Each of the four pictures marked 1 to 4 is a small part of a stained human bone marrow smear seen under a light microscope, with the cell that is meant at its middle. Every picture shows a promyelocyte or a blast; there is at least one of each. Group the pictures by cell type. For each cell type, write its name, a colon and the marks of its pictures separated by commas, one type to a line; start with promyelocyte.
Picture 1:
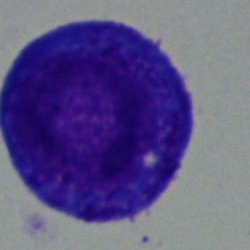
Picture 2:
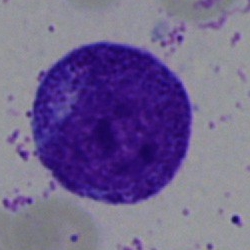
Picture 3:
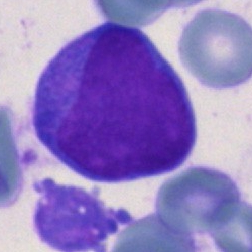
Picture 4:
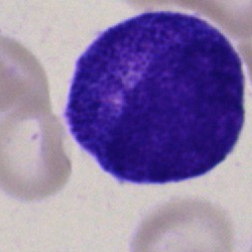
promyelocyte: 1, 2, 4
blast: 3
